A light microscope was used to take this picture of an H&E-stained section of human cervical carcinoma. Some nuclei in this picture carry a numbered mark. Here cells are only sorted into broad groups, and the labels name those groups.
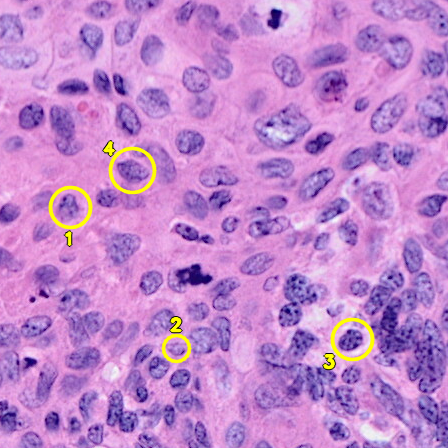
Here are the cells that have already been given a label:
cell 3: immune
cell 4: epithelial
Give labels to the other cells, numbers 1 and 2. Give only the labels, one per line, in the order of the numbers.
epithelial
epithelial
